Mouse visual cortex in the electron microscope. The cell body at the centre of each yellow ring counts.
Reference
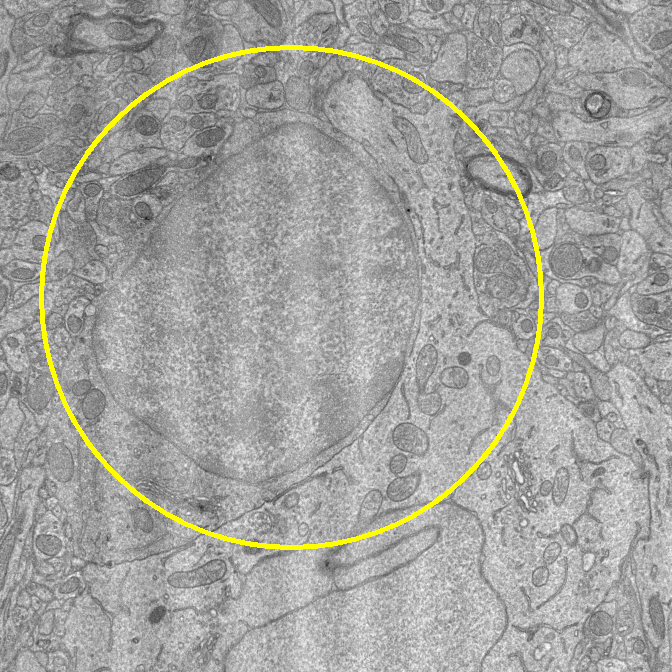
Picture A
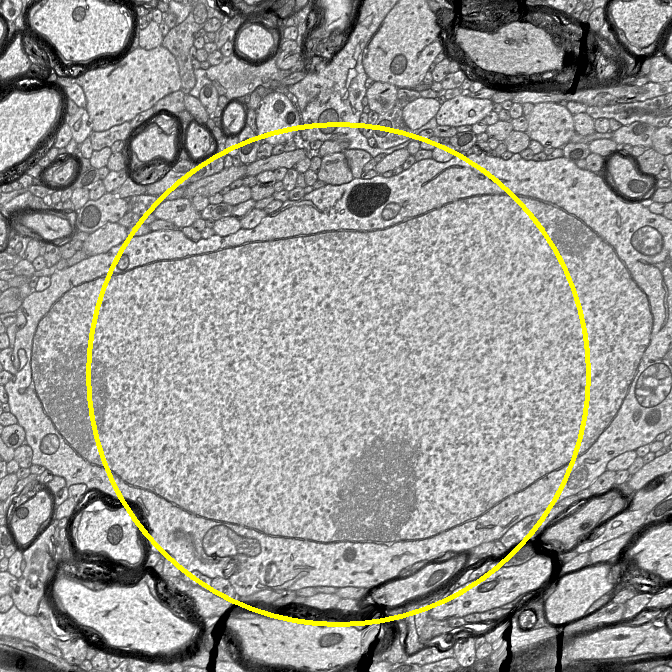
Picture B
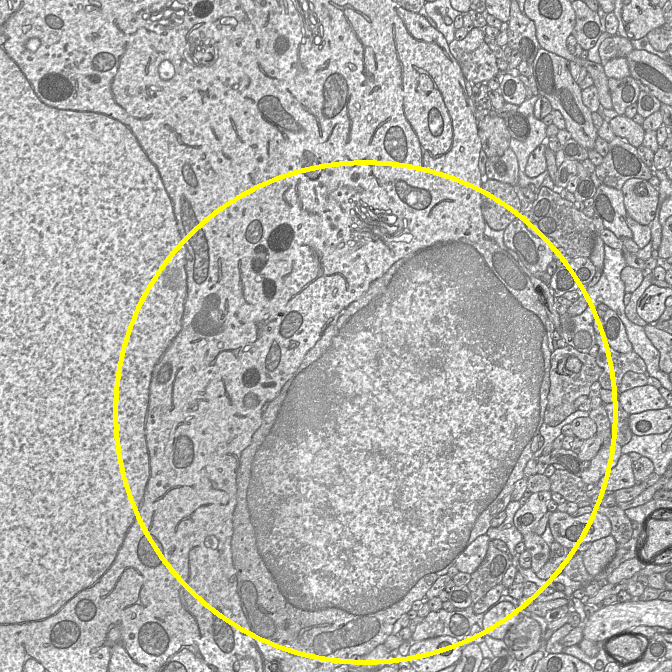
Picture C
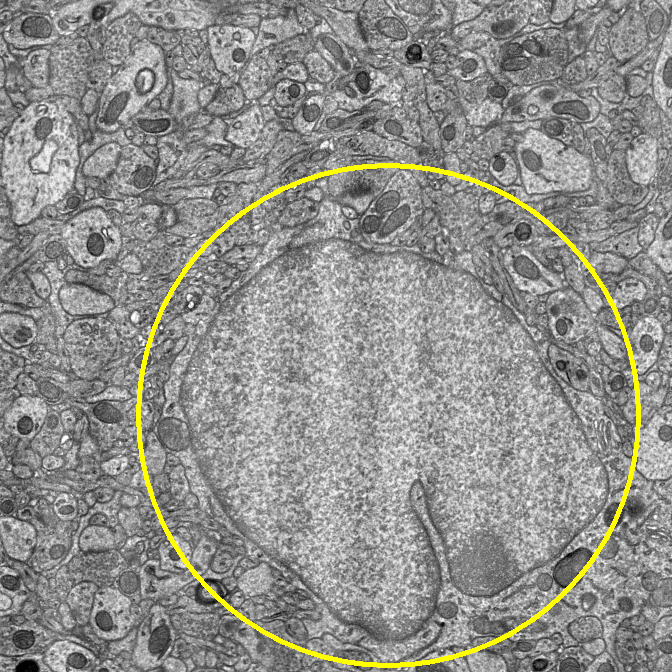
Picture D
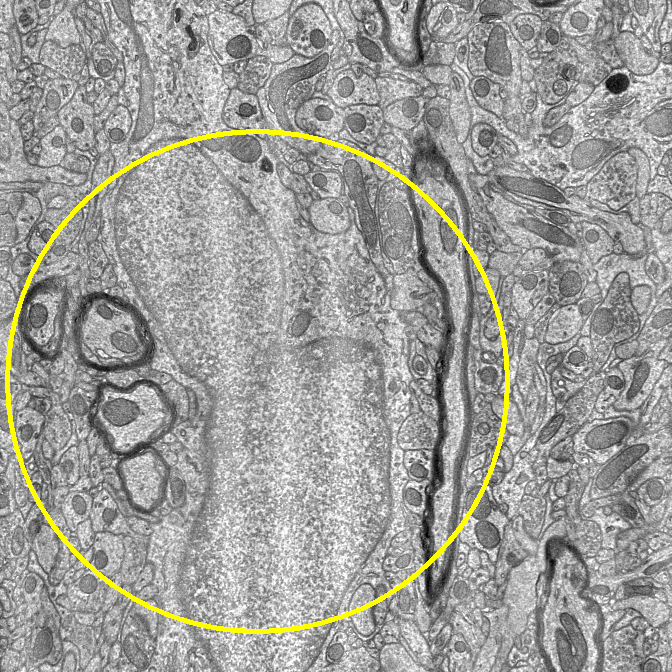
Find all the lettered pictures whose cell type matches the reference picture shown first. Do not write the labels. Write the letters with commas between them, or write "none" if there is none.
B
